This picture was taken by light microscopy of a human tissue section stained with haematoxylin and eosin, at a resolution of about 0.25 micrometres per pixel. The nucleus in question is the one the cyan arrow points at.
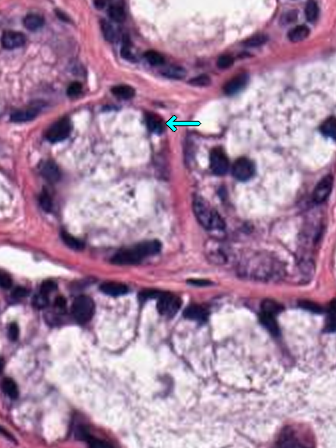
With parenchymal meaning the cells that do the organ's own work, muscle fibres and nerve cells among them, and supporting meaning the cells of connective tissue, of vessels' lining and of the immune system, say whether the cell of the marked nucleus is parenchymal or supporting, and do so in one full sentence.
In this field the marked nucleus is the nucleus of a mucous gland cell, a parenchymal cell.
